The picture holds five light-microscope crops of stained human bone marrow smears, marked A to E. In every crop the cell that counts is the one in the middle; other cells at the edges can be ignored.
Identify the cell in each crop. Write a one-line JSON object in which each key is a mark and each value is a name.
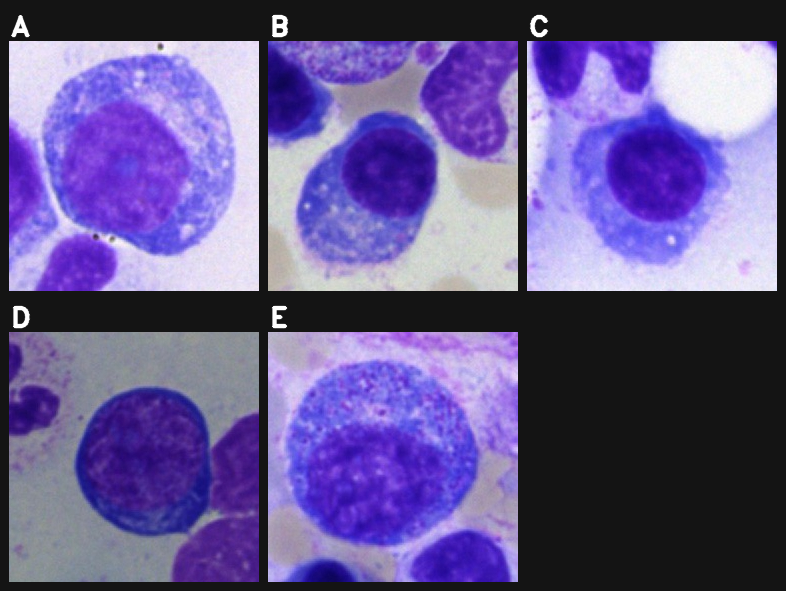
{"A": "promyelocyte", "B": "plasma cell", "C": "plasma cell", "D": "proerythroblast", "E": "promyelocyte"}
